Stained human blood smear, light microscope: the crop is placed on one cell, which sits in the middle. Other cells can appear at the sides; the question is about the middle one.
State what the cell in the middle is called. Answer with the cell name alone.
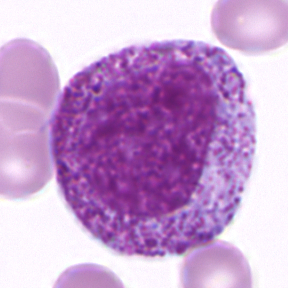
promyelocyte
